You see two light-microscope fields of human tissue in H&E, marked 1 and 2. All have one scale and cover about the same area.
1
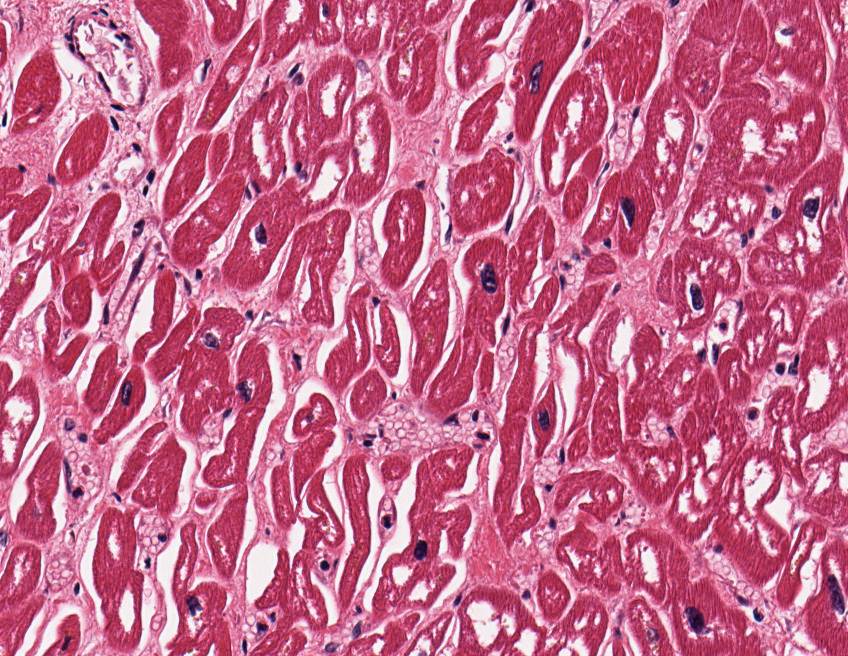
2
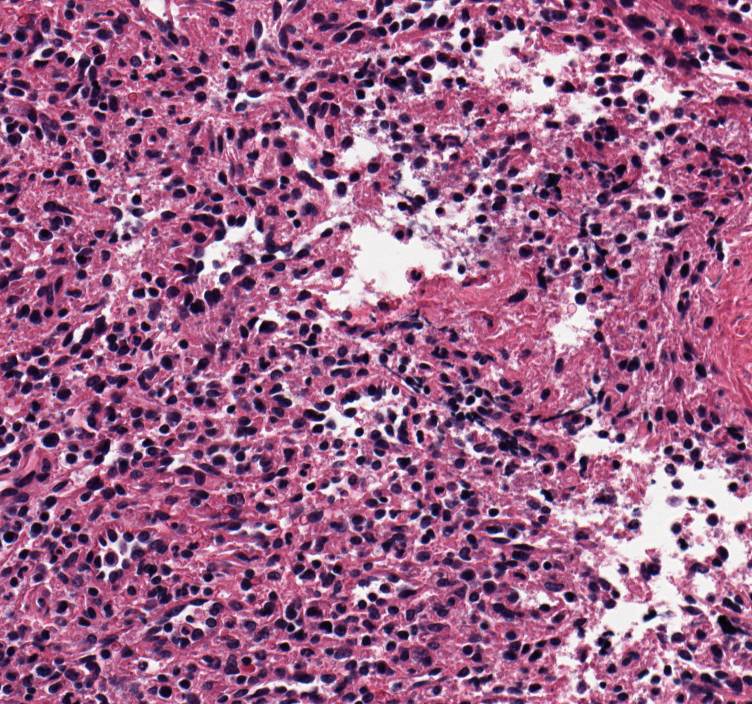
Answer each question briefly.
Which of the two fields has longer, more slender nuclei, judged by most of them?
1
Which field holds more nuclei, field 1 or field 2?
2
